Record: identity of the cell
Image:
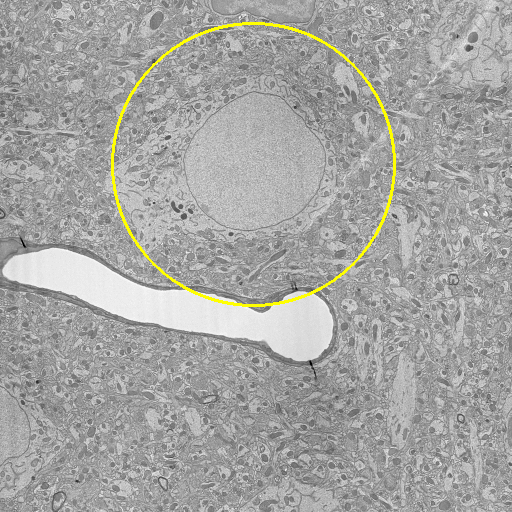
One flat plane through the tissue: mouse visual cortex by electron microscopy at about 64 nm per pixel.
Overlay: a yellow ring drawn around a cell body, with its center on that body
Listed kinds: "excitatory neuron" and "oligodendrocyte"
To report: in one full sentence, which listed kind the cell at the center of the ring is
In the image, the cell body at the ring's center belongs to an excitatory neuron.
